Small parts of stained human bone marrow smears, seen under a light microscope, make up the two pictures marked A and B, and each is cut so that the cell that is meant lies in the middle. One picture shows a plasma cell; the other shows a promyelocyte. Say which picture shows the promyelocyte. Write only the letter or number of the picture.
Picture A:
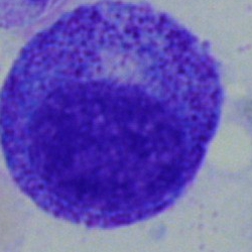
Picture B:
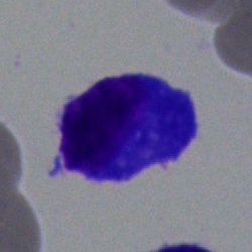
A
